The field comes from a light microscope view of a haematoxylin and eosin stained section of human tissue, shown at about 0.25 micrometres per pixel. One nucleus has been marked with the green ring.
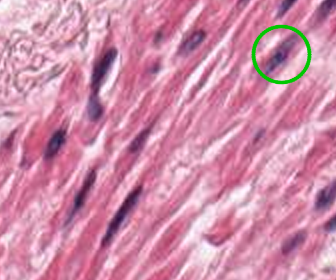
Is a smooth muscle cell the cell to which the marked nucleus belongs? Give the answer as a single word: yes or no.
yes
